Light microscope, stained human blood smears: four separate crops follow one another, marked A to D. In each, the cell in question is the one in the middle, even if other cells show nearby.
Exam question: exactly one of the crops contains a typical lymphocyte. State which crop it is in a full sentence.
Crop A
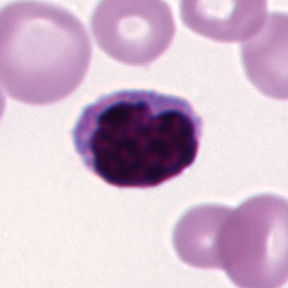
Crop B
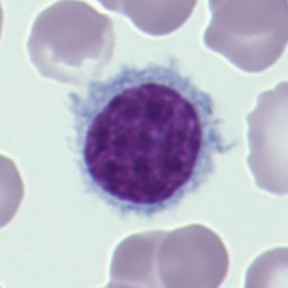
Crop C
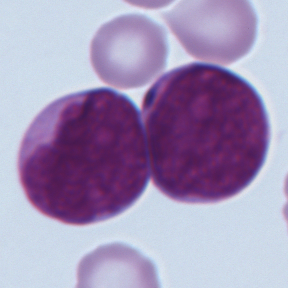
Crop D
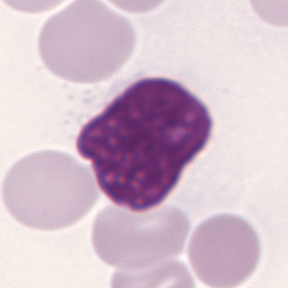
Crop A is where a typical lymphocyte is to be found.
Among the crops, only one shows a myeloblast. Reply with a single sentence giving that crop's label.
Crop C, and no other, is the one that shows a myeloblast.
